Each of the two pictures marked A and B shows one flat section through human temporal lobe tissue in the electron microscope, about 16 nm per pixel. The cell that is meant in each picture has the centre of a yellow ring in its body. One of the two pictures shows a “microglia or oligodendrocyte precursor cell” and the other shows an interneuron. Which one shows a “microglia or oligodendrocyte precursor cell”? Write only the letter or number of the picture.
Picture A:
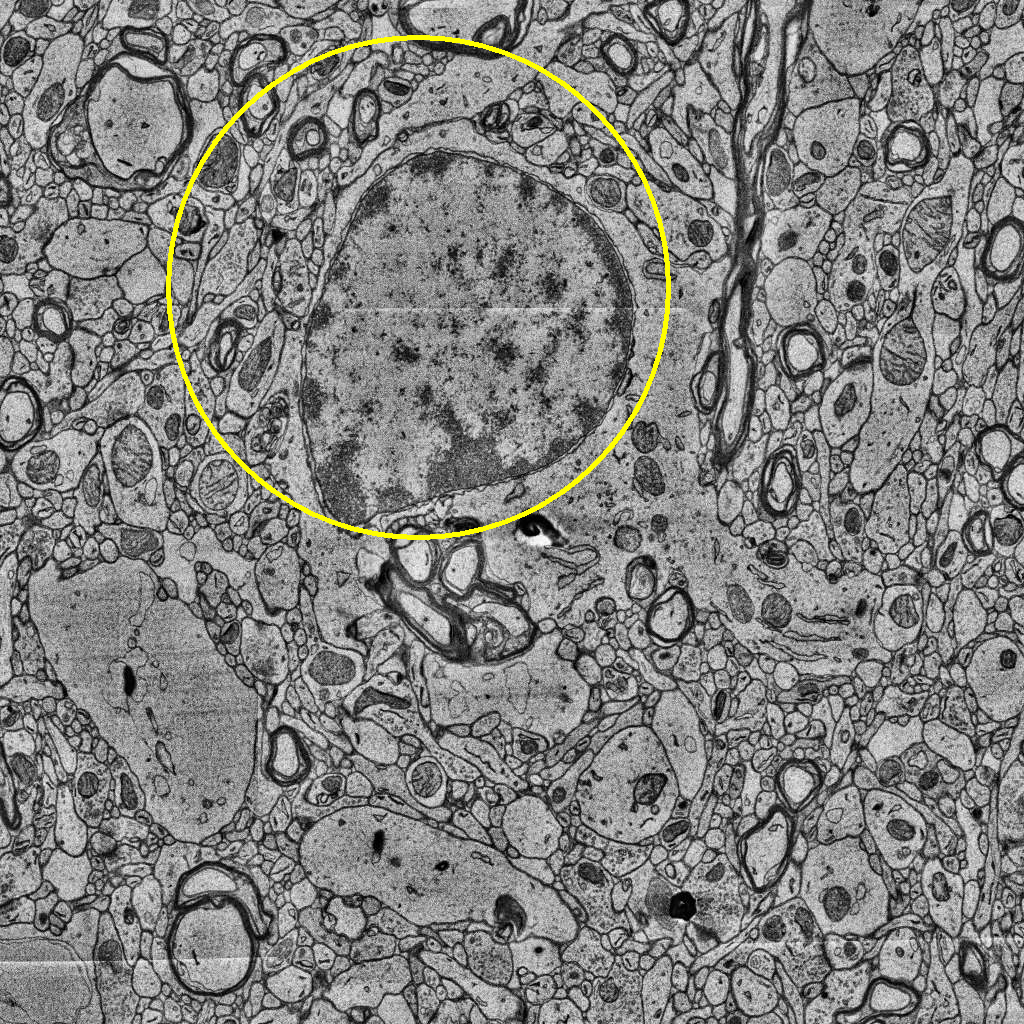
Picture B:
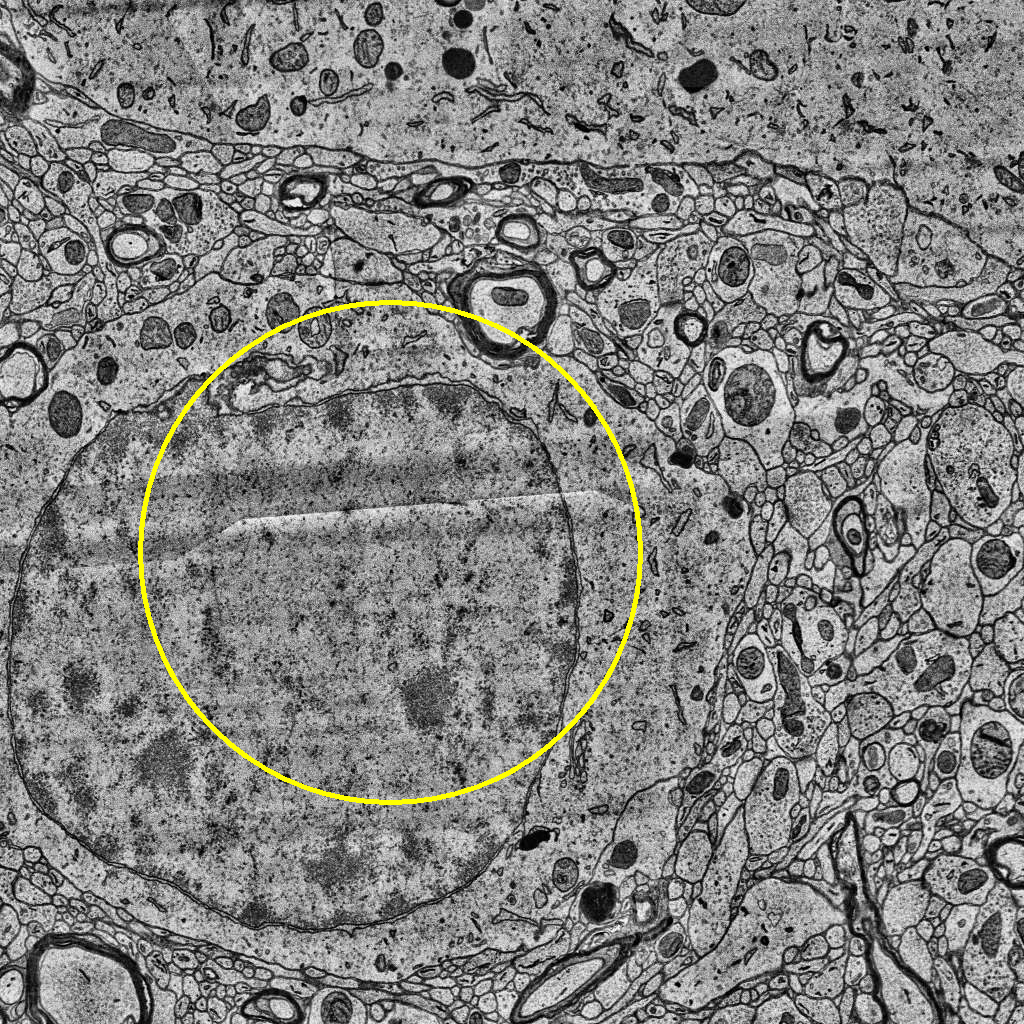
A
